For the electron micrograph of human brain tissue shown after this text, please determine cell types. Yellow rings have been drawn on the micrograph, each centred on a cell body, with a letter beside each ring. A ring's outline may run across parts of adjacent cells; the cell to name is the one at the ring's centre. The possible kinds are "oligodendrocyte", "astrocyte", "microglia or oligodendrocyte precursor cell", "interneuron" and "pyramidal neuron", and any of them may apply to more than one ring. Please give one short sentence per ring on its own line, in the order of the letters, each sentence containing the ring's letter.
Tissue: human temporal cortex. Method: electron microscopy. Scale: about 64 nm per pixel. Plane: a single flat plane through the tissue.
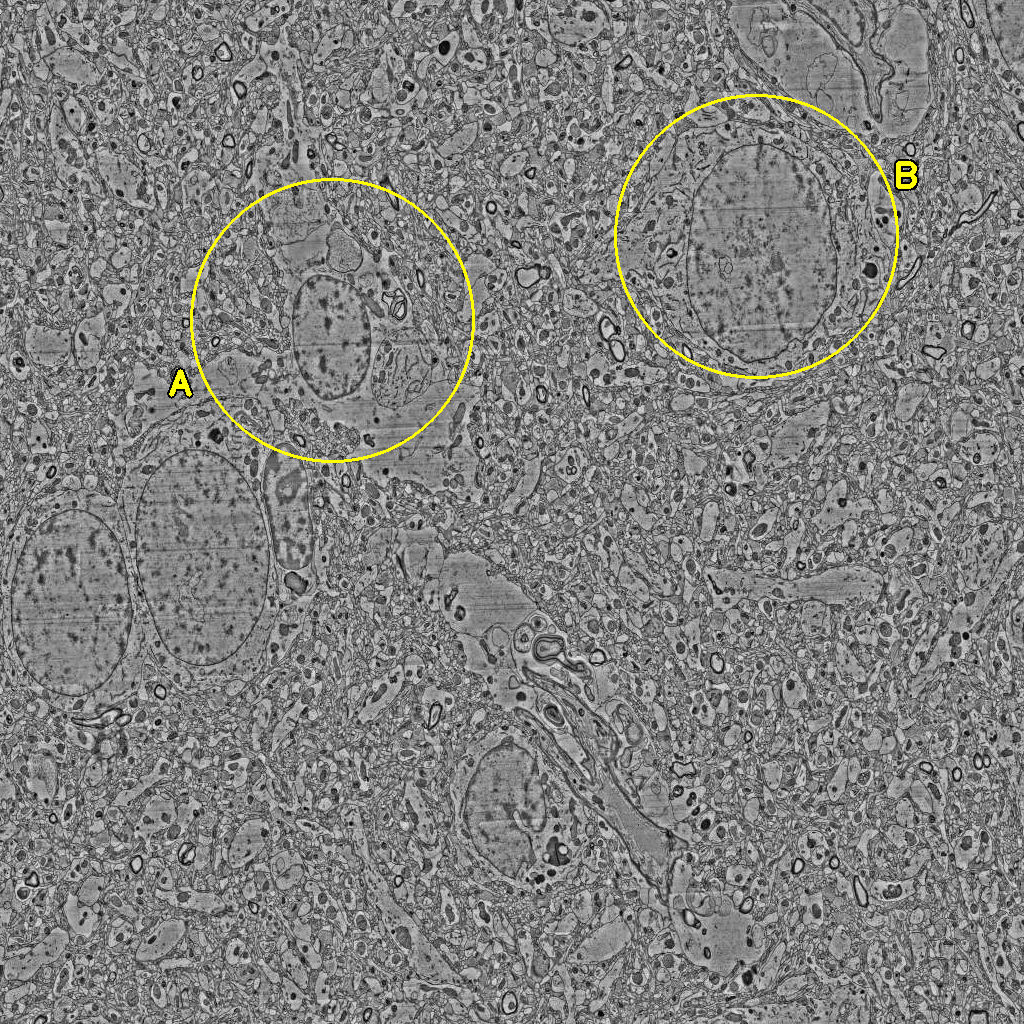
Ring A is set around an astrocyte.
Ring B is set around a pyramidal neuron.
